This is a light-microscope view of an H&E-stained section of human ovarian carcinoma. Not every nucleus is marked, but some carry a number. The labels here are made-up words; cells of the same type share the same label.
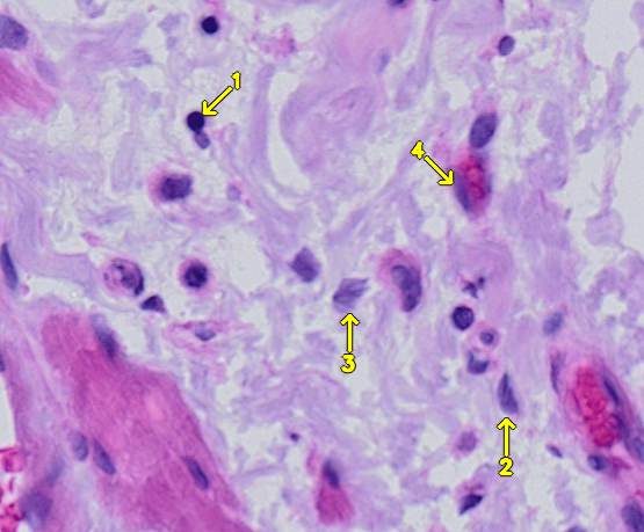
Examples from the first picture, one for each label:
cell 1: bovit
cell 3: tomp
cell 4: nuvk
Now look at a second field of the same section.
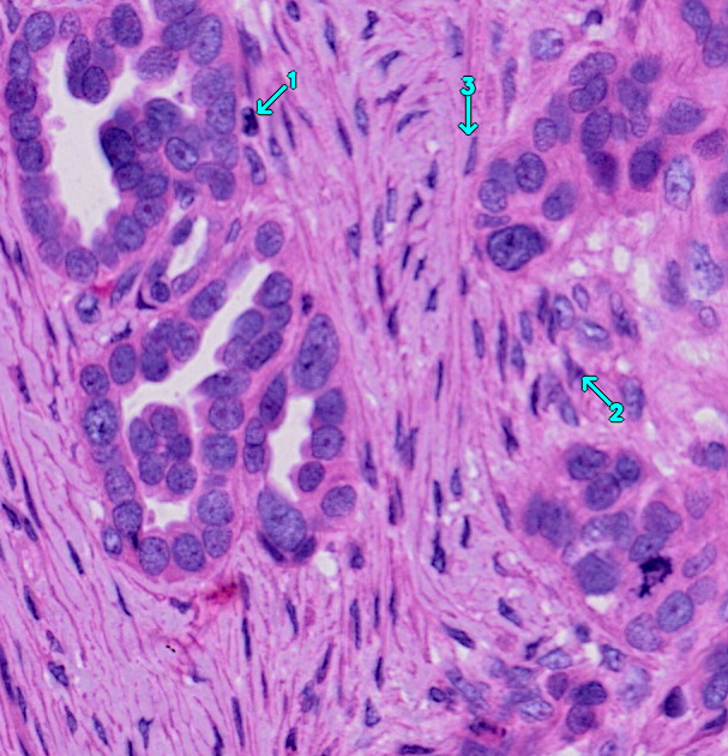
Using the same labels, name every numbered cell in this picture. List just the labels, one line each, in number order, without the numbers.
bovit
tomp
tomp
